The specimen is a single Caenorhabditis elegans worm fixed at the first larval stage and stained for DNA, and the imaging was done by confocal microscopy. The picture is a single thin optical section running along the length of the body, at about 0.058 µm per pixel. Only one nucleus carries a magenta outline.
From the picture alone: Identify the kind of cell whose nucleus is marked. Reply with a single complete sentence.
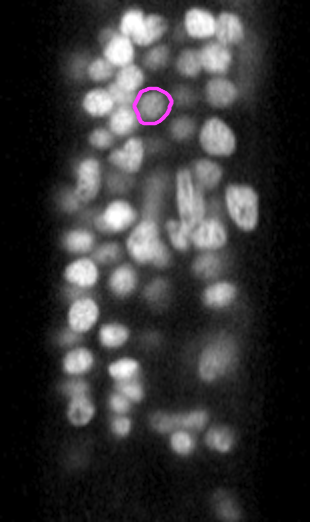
It is the nucleus of a neuron.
